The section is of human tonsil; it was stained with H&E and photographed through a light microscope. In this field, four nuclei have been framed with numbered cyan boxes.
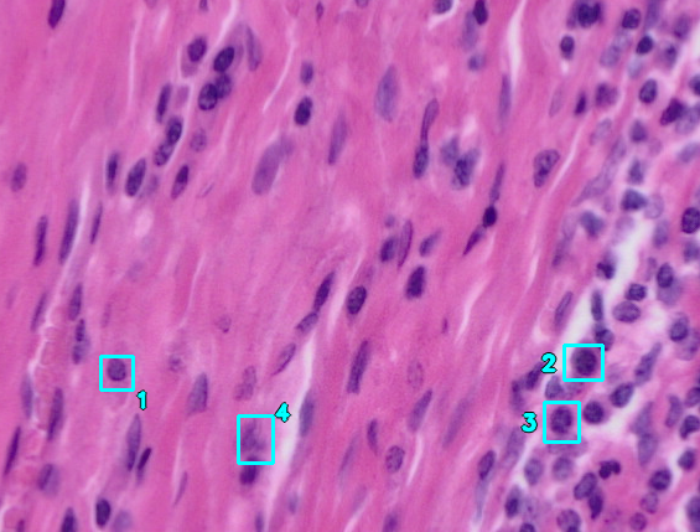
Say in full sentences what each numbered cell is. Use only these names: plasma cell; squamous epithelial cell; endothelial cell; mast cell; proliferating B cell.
Cell 1 is a mast cell. Cells 2 and 3 are plasma cells. Cell 4 is an endothelial cell.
